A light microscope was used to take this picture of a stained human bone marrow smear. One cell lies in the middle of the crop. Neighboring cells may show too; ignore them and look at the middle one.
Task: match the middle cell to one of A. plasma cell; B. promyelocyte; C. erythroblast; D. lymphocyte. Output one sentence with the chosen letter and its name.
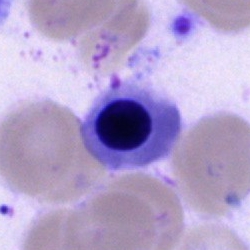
The central cell of the crop is an erythroblast, which makes C the correct option.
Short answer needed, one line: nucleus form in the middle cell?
Round, oval or kidney-shaped, the nucleus is one compact mass.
